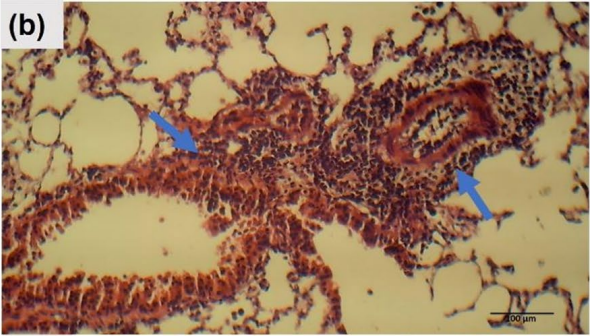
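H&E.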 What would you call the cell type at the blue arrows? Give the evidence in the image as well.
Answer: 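Dense sheets of small cells with dark round nuclei and scant cytoplasm crowd the tissue where the arrows point. These cells gather around an airway lined by tall epithelium and around a vessel. The answer: inflammatory cells.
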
